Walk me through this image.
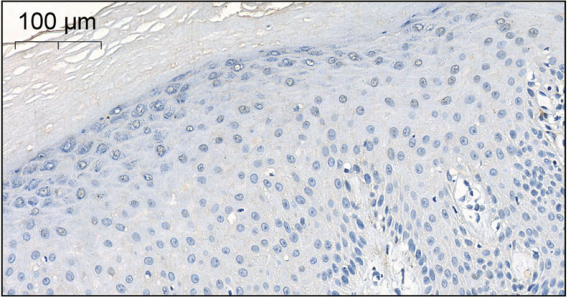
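A thick mass of squamous epithelium fills most of the field, with a pale, layered keratin zone at the upper left. The cells are large and polygonal, with abundant pale cytoplasm and distinct borders. Their nuclei are round to oval with visible nucleoli and are mostly stained blue. Brown stain is scarcely present. Toward the lower right, the cells become smaller and more crowded, with darker, more elongated nuclei. A few strands of stroma enter from that edge.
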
